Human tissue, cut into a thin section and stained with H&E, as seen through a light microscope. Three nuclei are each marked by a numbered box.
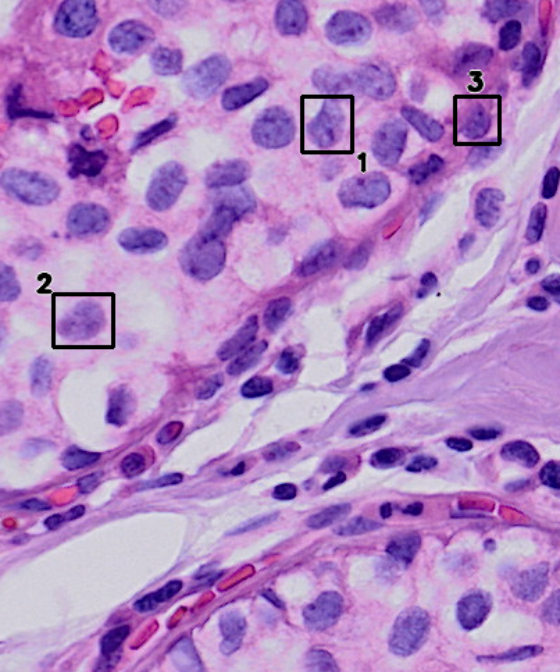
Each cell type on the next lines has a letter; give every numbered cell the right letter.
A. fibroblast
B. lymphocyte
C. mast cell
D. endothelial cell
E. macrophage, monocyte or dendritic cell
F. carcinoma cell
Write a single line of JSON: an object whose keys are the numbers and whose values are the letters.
{"1": "F", "2": "F", "3": "D"}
